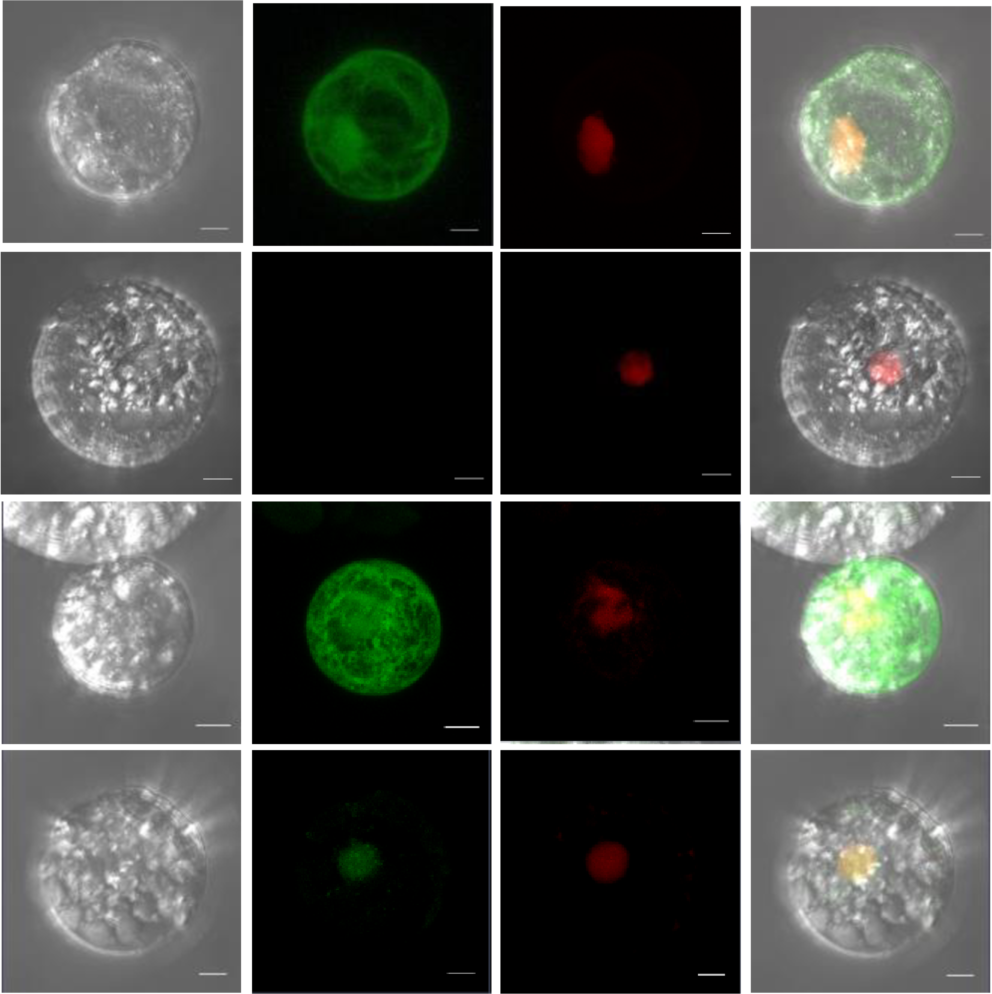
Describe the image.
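These are isolated plant protoplasts, each a single round cell seen in bright field beside its green and red fluorescence channels and a merged image. In bright field the cells are spherical with a smooth outline, and their interior is packed with many refractile granules. In some cells the green fluorescence fills the whole cell, outlining its periphery and threads of cytoplasm, so that in the merge the nucleus appears yellow-orange amid green. In the bottom row the green fluorescence is faint and gathered into a small spot coinciding with the red nucleus, giving a yellow overlap in the merge.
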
